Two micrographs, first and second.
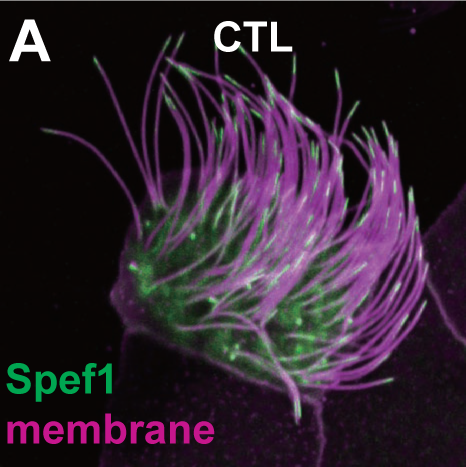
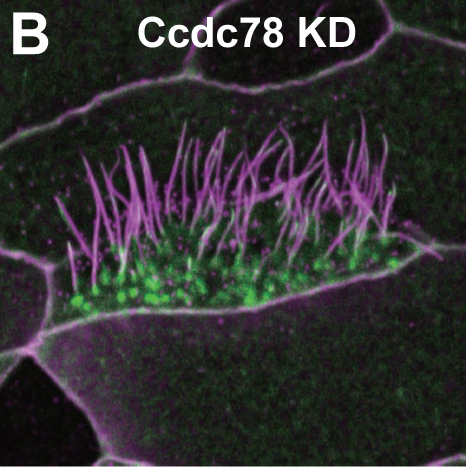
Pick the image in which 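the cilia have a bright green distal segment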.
The first image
